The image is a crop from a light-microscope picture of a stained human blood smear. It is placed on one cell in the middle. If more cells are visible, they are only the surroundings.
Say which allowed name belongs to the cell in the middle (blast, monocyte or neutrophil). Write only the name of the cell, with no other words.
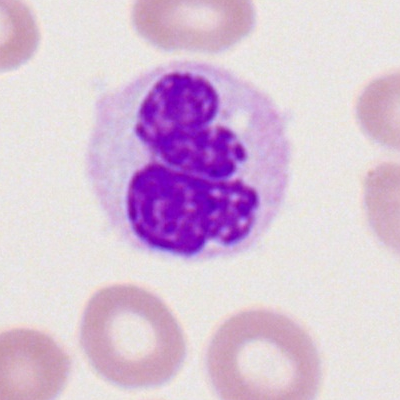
monocyte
